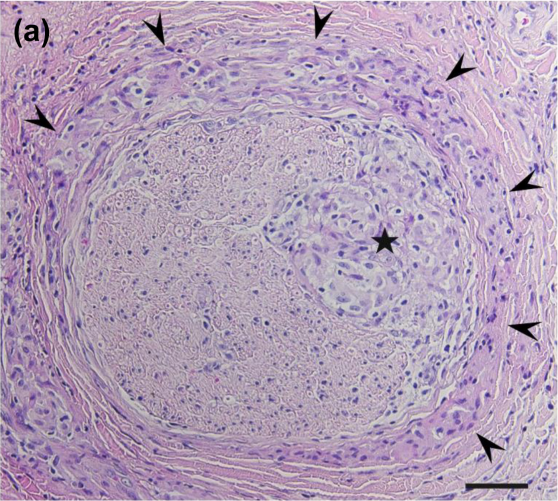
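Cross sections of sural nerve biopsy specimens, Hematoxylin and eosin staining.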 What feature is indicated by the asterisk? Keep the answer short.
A: granulomas in the endoneurium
